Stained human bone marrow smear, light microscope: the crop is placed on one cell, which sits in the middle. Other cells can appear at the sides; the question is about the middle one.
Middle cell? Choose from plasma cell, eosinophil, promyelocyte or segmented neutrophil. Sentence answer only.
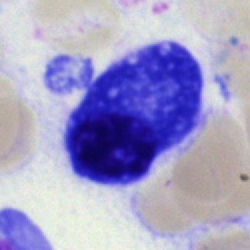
The cell in the middle of the field of view is a plasma cell.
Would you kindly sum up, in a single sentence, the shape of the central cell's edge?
There are no projections here; the outline is simply smooth.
